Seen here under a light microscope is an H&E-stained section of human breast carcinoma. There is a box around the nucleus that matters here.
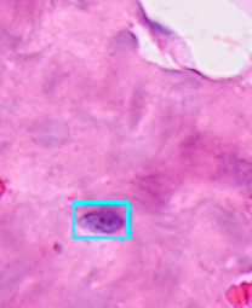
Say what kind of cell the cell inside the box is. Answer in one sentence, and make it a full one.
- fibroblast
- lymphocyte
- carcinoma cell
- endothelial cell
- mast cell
In this field of tissue, the cell inside the box is a fibroblast.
